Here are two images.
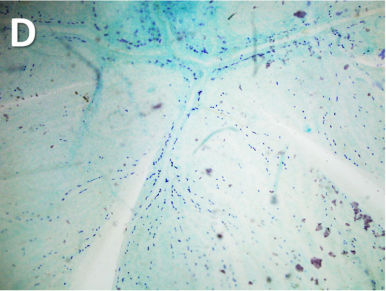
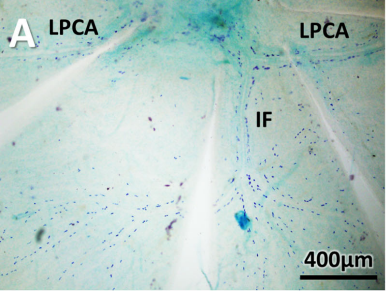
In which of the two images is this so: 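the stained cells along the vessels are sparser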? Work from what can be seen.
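Second image: fewer dark blue cells, mostly in thin lines along the vessels. So: the second image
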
